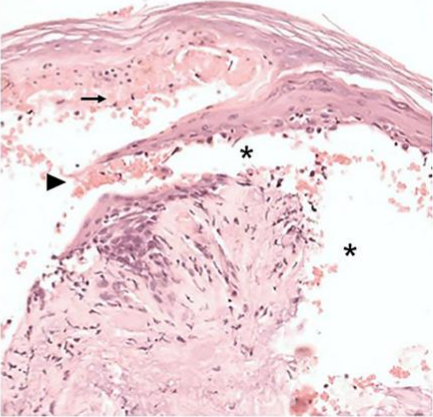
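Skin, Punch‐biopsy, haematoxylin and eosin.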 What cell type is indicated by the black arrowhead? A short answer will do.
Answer: Erythrocytes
